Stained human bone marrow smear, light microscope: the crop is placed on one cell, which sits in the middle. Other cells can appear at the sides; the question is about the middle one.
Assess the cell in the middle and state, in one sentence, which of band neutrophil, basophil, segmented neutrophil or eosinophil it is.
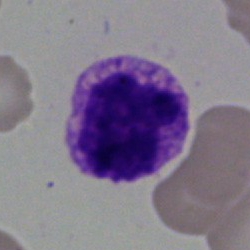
Whatever else lies nearby, the middle cell is a basophil.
